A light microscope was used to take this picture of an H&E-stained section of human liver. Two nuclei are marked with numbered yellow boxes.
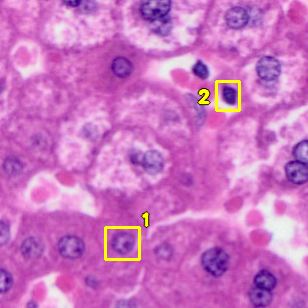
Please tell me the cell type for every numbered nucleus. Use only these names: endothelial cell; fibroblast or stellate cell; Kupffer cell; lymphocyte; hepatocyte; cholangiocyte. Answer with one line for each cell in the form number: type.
1: hepatocyte
2: lymphocyte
